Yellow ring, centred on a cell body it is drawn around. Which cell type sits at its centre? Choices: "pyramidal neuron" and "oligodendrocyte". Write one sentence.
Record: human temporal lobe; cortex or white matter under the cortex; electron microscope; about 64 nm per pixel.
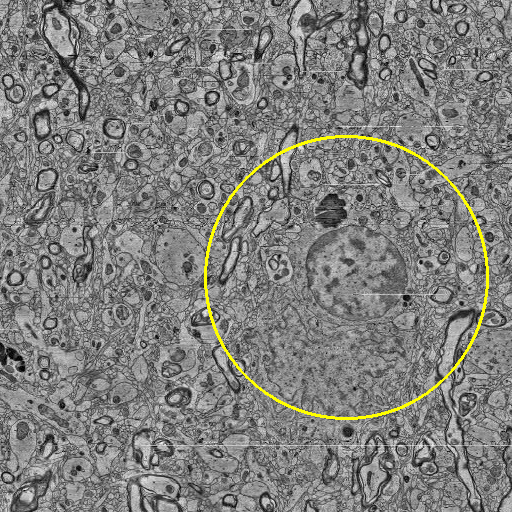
At the centre of the ring sits an oligodendrocyte.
